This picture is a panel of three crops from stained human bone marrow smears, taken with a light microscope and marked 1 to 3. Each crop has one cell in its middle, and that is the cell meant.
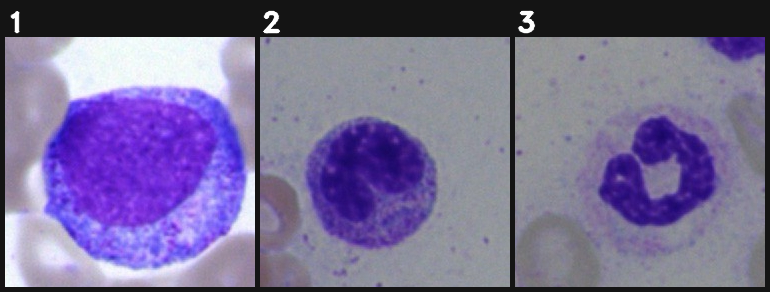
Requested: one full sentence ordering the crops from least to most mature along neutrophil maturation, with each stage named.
Arranged by increasing maturity, the sequence is crop 1 (a promyelocyte), crop 2 (a band neutrophil) and crop 3 (a segmented neutrophil).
